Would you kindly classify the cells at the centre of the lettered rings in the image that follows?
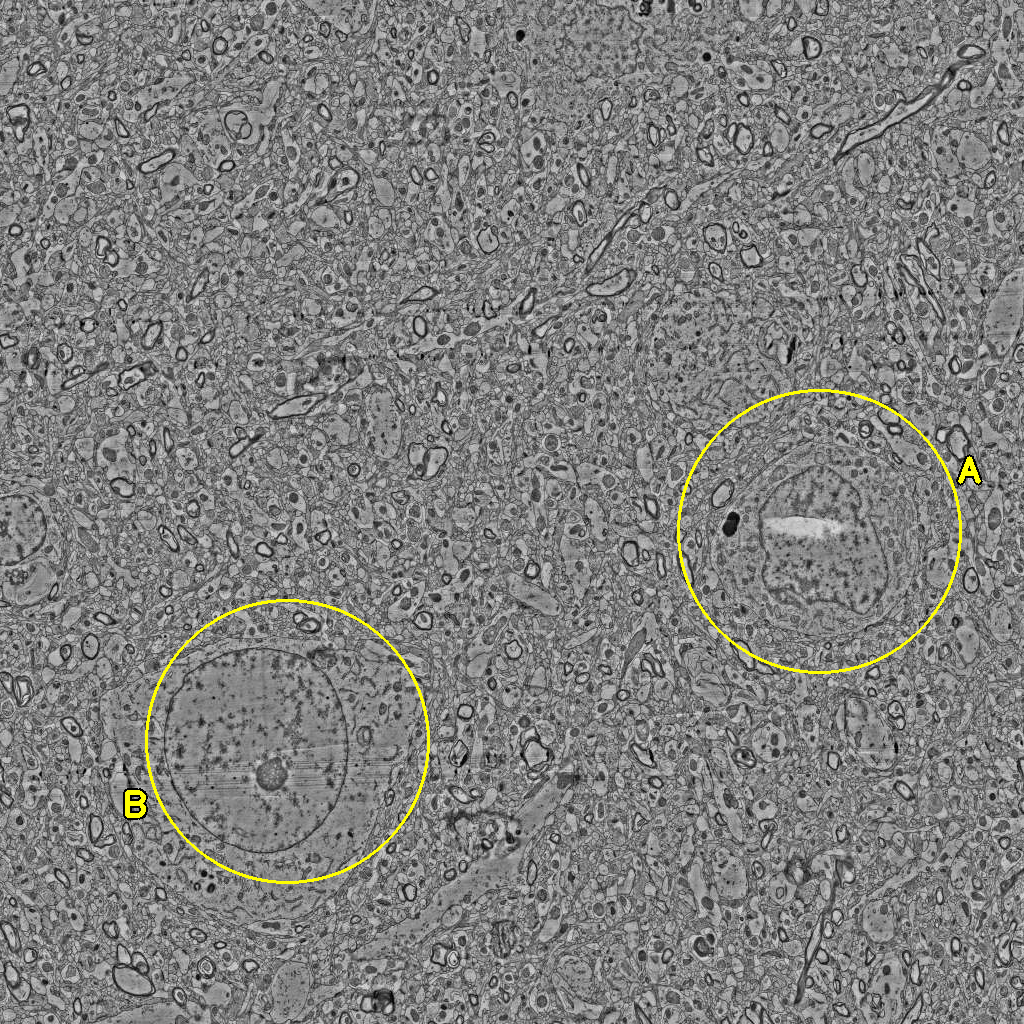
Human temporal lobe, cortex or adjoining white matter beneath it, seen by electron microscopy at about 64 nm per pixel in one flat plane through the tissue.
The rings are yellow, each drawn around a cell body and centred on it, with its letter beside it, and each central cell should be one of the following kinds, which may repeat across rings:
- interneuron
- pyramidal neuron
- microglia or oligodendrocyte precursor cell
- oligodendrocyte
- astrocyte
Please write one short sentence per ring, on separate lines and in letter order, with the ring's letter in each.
The kind of cell at the centre of ring A is an interneuron.
The kind of cell at the centre of ring B is a pyramidal neuron.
